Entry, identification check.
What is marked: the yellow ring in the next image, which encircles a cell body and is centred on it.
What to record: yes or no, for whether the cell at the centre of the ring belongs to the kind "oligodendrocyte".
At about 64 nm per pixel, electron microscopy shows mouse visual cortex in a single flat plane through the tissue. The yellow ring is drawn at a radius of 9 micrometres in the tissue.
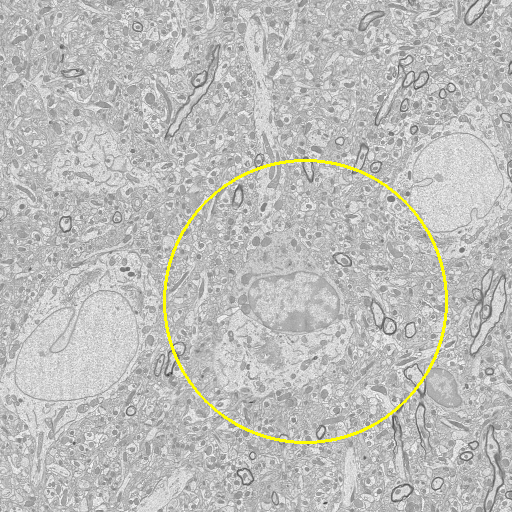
Yes, it belongs to that kind.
